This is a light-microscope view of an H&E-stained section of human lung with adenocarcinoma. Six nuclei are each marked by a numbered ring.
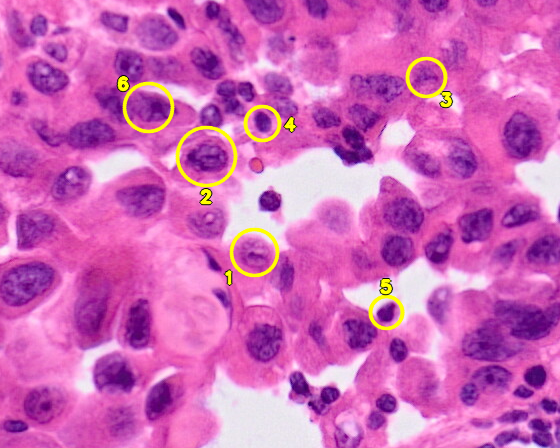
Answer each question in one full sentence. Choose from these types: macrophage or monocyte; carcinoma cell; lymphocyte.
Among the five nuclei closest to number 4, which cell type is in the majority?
Macrophages or monocytes make up most of the five nuclei closest to number 4.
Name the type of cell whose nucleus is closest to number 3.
The nearest nucleus to number 3 belongs to a carcinoma cell.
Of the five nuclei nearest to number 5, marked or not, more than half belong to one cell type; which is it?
Around number 5, most of the five nearest nuclei are those of carcinoma cells.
